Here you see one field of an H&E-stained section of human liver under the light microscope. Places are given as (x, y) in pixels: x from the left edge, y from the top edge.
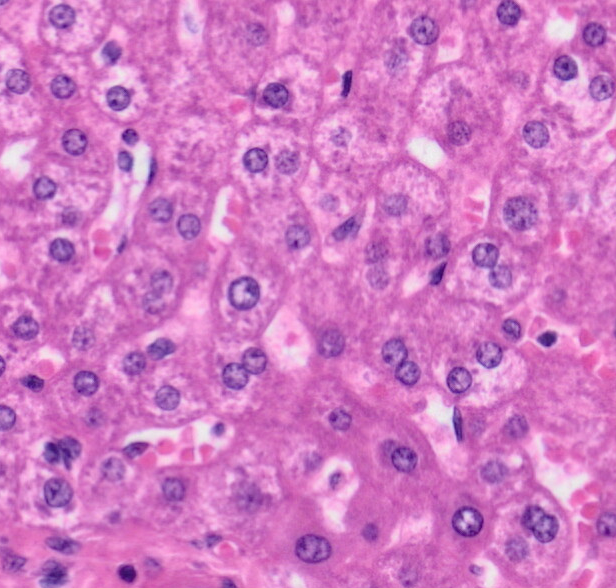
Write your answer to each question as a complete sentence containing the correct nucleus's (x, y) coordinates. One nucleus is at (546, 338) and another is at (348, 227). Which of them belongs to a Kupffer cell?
The nucleus at position (348, 227) belongs to a Kupffer cell.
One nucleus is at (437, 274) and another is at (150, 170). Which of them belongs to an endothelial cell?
The nucleus at (150, 170) is contained in an endothelial cell.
